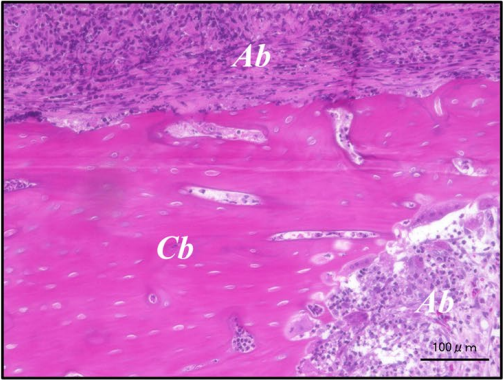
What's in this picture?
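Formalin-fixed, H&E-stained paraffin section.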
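A broad band of pink cortical bone runs across the field, pierced by elongated canals that hold cells. Dense sheets of inflammatory cells with dark purple nuclei, forming abscesses, lie along its upper surface and in the lower right corner.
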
